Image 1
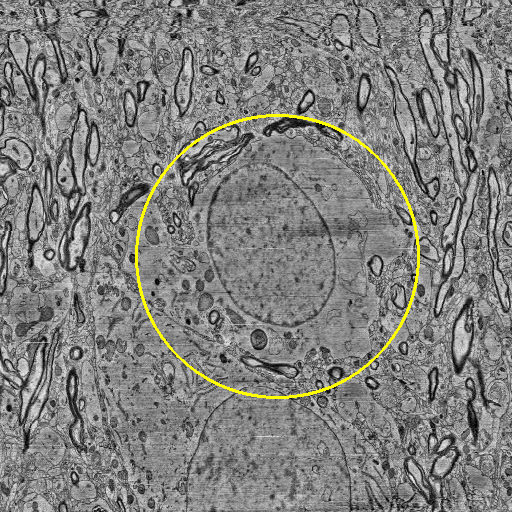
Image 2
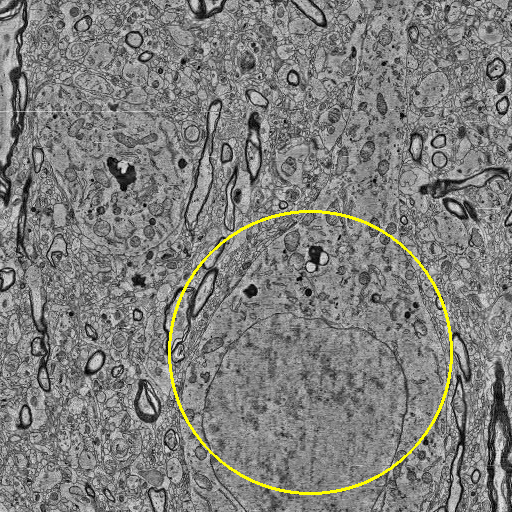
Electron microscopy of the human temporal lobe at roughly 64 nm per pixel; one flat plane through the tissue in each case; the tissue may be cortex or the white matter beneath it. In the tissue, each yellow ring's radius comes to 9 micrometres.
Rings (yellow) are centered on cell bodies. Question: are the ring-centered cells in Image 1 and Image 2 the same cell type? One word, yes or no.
no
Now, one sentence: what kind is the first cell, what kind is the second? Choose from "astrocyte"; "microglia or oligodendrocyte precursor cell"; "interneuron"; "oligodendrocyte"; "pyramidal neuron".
The first picture has an astrocyte at its ring centre, and the second has a pyramidal neuron.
